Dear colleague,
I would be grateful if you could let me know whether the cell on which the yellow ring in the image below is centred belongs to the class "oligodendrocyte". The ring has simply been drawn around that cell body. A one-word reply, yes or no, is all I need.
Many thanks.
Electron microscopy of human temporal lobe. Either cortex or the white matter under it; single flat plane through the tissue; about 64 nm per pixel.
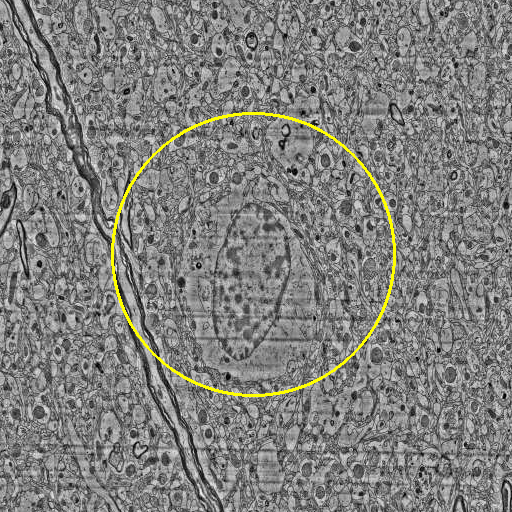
no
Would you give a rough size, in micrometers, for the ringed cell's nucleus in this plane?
In this plane the nucleus is clearly longer than it is wide, at approximately 9 by 5 micrometres.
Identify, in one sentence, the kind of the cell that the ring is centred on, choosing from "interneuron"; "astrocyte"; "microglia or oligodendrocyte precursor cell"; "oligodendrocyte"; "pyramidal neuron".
Instead, the cell at the centre of the yellow ring is an astrocyte.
